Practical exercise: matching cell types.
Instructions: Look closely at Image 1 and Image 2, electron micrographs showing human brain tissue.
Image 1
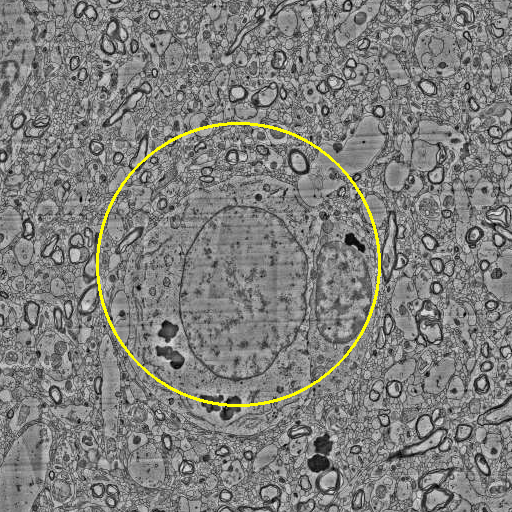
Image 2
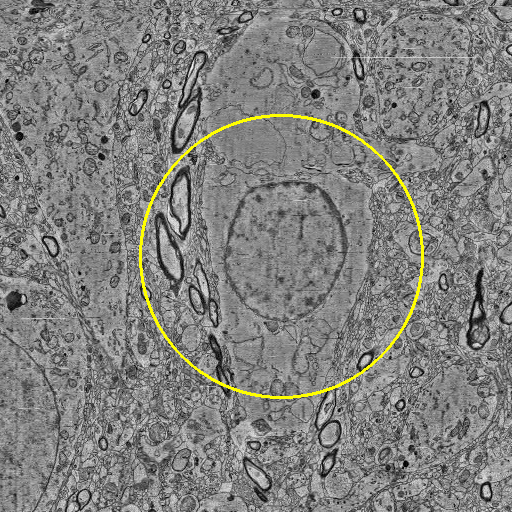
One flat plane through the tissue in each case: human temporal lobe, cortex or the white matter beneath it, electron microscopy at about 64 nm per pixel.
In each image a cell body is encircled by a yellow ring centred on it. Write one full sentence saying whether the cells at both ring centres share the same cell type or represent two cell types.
Across Image 1 and Image 2, the cells at the ring centres represent two cell types.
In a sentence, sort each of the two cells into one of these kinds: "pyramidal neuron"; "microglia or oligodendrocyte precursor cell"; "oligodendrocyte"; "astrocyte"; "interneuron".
The first of the two cells is a pyramidal neuron, and the second is an astrocyte.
